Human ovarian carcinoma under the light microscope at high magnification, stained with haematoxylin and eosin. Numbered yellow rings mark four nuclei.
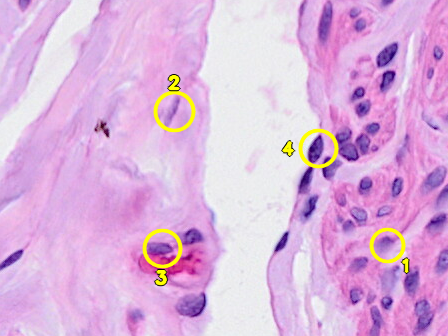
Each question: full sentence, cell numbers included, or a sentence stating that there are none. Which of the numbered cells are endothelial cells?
The cells referred to by numbers 3 and 4 are endothelial cells.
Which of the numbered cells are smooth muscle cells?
Cell 1 represents a smooth muscle cell, and no other numbered cell does.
